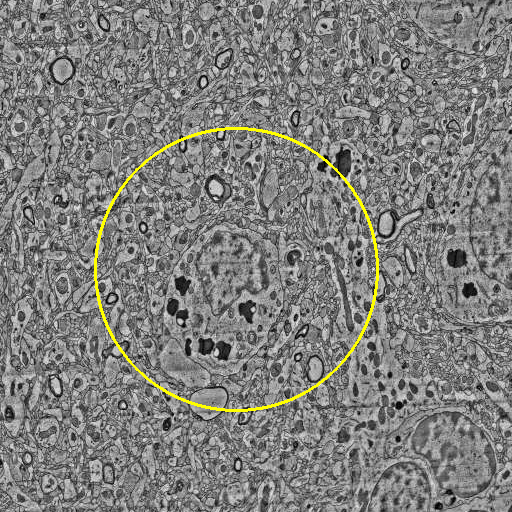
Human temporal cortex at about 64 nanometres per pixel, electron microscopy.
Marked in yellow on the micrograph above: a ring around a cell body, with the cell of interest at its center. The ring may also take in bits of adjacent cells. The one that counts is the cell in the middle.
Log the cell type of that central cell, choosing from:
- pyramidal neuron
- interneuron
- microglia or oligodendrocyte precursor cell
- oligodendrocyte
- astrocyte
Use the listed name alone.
interneuron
